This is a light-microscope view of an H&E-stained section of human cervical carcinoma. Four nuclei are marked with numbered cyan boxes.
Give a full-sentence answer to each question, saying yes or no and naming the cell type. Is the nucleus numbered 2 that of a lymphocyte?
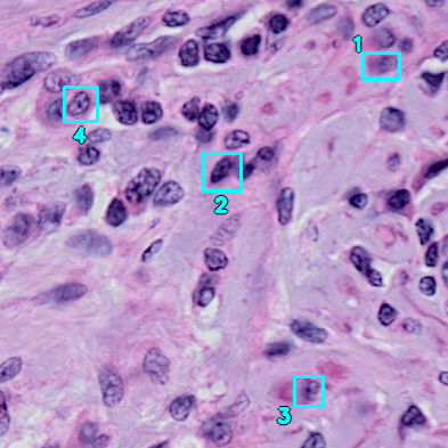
Yes, regarding cell number 2, it is a lymphocyte.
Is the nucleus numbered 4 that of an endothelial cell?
Yes, an endothelial cell is what the cell numbered 4 is.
